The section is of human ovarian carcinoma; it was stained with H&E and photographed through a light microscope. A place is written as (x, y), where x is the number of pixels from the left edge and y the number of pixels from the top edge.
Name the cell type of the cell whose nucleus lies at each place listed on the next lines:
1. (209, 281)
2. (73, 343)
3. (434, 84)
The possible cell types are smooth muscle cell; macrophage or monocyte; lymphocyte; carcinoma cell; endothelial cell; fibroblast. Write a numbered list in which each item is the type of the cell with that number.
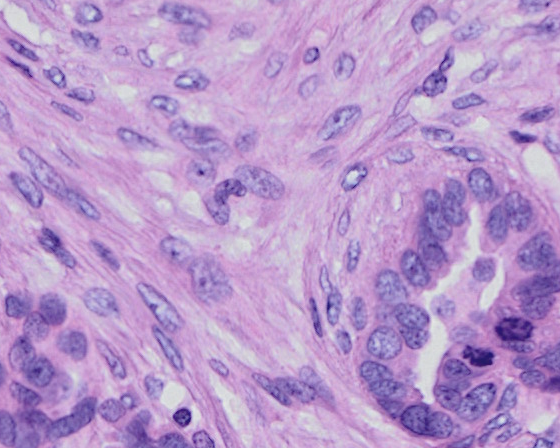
1. fibroblast
2. carcinoma cell
3. macrophage or monocyte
